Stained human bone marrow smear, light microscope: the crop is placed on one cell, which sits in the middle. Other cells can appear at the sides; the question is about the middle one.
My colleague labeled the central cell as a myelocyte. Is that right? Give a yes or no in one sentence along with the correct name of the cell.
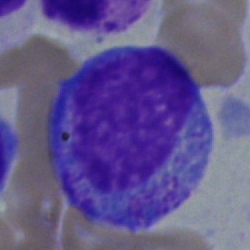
No, not a myelocyte: the cell in the middle of this crop is a promyelocyte.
